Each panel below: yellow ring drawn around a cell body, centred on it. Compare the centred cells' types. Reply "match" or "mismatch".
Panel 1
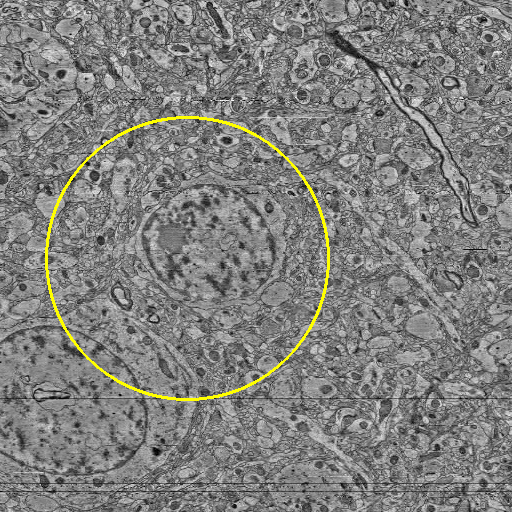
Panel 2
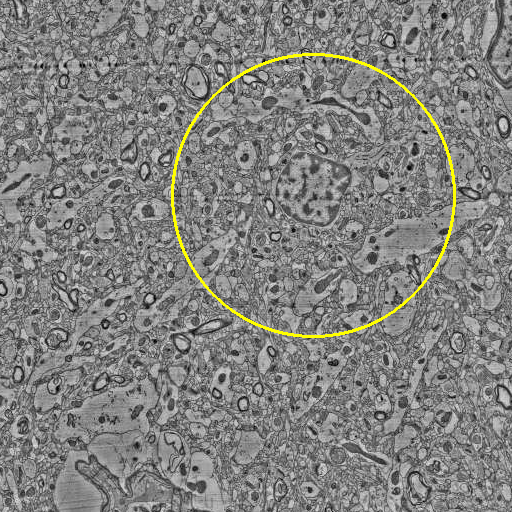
mismatch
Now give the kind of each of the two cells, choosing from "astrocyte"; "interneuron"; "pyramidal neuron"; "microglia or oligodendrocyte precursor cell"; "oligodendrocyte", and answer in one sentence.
The cell in the first picture is an interneuron, and the cell in the second is a microglial cell or oligodendrocyte precursor cell.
